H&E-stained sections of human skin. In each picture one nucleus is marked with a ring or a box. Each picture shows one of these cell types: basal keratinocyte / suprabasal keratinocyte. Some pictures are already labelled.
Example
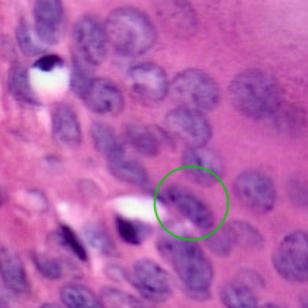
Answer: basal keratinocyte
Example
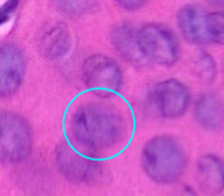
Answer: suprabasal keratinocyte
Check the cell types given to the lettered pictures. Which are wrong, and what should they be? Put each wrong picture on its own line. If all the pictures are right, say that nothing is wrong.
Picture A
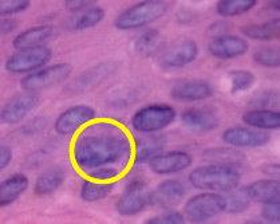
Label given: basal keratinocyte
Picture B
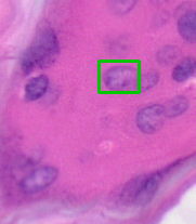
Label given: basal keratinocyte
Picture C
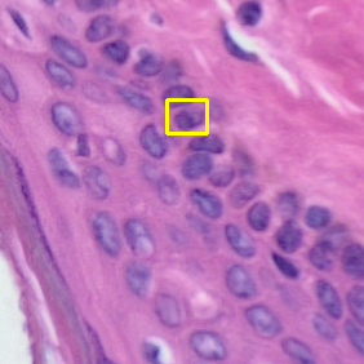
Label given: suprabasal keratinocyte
B: not basal keratinocyte but suprabasal keratinocyte
C: not suprabasal keratinocyte but basal keratinocyte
